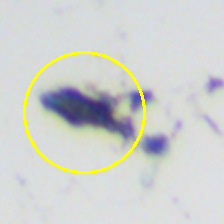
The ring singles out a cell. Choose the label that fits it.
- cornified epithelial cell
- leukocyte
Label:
cornified epithelial cell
